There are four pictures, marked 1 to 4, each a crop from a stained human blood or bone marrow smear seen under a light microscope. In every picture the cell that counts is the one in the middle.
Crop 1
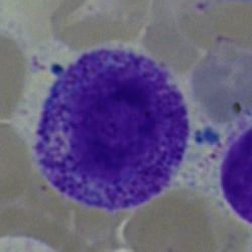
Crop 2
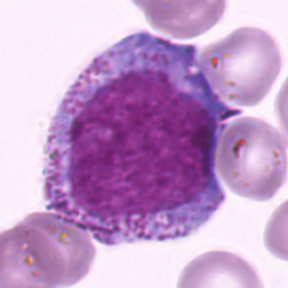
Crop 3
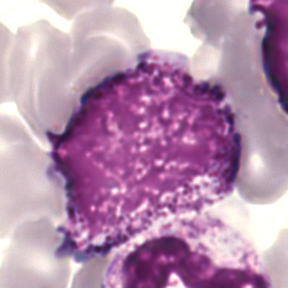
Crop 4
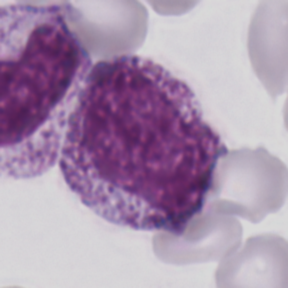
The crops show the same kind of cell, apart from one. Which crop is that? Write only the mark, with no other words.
2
